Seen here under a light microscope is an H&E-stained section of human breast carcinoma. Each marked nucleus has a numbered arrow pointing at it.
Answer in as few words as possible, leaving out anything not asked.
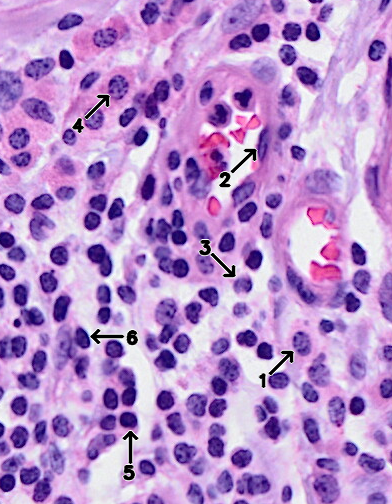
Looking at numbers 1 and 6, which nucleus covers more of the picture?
1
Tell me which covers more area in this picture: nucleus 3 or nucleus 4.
4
